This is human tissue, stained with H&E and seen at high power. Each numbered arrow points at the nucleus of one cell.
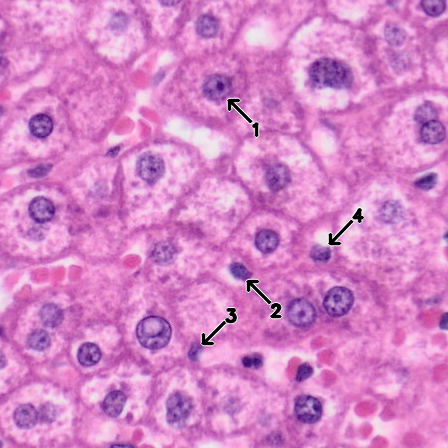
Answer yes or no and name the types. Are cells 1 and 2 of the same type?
No, the cell at number 1 is a hepatocyte, and the cell at number 2 is a lymphocyte.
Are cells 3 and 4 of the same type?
Yes, cells 3 and 4 both belong to the category of endothelial cells.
